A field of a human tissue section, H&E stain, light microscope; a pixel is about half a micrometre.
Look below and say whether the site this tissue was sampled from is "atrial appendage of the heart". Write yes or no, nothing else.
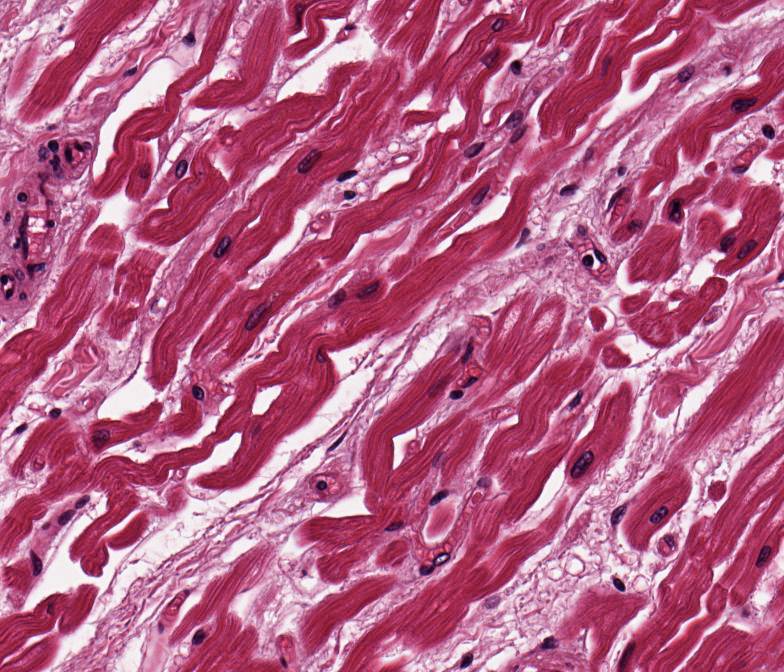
yes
